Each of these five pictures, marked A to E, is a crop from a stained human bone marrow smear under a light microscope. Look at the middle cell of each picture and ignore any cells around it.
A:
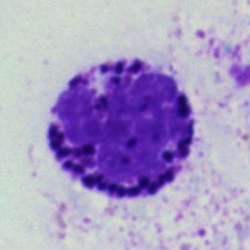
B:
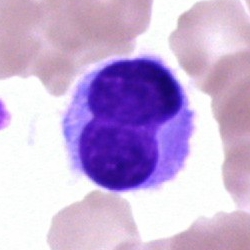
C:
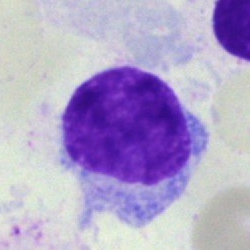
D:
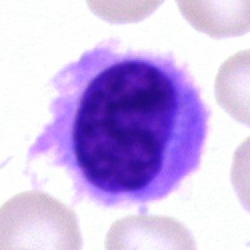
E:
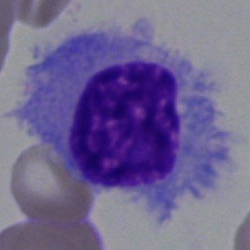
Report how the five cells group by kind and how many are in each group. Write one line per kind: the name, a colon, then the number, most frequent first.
hairy cell: 4
basophil: 1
